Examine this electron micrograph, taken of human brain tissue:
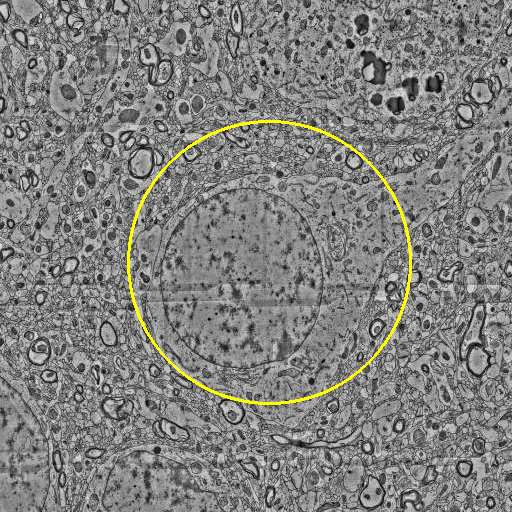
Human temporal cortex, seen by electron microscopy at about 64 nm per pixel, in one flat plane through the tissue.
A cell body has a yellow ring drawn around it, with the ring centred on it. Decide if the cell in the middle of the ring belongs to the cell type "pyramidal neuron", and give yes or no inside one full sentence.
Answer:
Yes, the cell at the centre of the yellow ring in this picture is of that type.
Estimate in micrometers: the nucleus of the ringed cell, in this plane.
Roughly 11 micrometers across in this plane.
